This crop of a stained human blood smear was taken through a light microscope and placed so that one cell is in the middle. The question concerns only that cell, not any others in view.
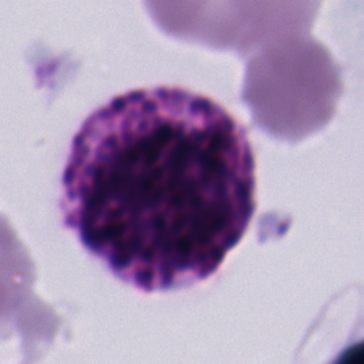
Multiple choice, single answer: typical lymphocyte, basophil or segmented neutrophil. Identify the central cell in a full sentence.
Seen at the centre of the crop is a basophil.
